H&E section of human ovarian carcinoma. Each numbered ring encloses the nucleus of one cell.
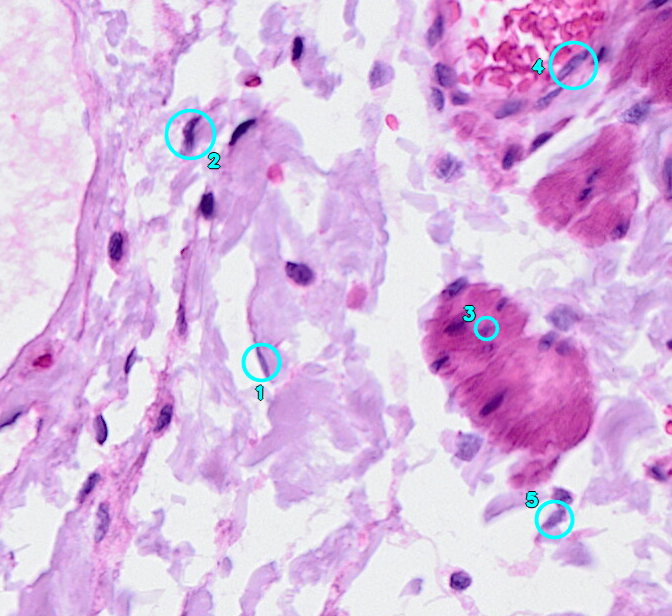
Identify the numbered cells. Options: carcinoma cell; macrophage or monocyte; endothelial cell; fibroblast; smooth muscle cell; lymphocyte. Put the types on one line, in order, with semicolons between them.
fibroblast; fibroblast; smooth muscle cell; endothelial cell; fibroblast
